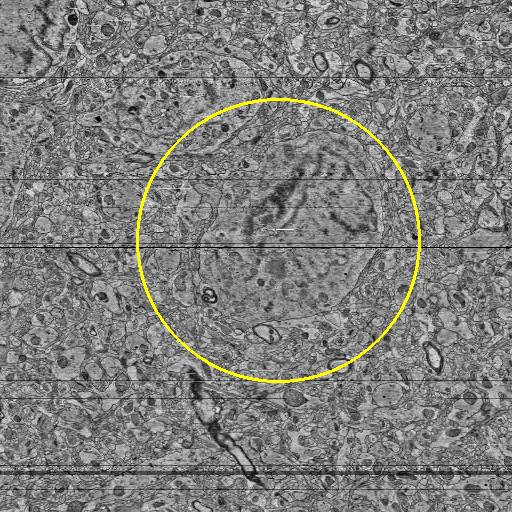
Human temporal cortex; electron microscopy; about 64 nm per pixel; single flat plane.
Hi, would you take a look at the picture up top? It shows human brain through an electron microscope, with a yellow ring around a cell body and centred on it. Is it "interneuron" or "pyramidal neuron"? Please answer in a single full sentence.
The best fit for the cell in the middle of the ring is an interneuron, I reckon.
